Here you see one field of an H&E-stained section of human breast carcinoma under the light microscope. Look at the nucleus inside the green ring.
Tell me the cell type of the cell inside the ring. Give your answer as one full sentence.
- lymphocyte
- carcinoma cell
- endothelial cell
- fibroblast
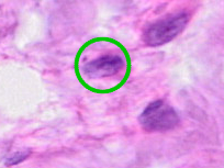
The cell inside the ring is a fibroblast.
